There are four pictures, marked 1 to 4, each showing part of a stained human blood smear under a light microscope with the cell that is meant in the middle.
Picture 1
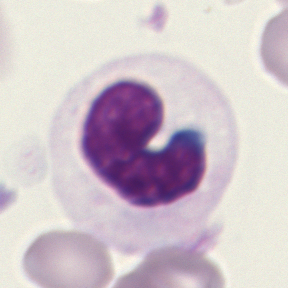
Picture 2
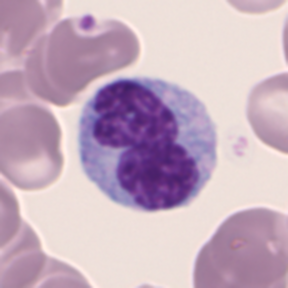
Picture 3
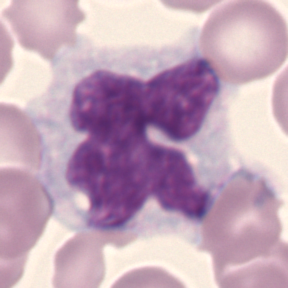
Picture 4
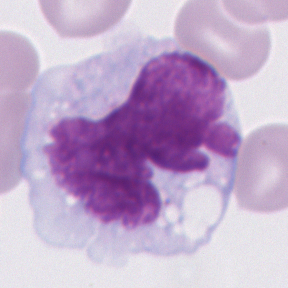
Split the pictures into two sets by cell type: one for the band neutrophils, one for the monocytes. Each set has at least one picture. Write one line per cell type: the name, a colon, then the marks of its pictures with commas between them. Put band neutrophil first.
band neutrophil: 1
monocyte: 2, 3, 4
